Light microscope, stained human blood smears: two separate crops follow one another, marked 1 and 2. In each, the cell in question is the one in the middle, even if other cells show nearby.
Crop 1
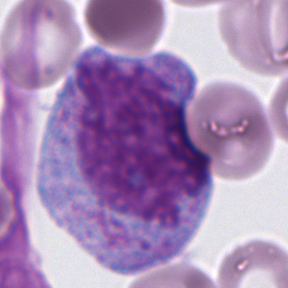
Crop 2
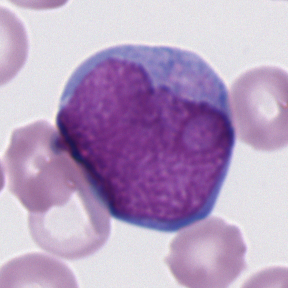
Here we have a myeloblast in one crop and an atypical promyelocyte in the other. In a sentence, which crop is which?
The cell in crop 1 is an atypical promyelocyte, and the one in crop 2 is a myeloblast.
